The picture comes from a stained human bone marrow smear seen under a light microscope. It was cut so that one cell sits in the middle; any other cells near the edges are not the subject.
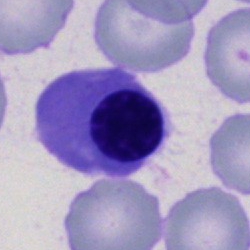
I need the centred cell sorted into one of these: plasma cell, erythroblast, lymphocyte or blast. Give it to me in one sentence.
In the middle of this smear crop is an erythroblast.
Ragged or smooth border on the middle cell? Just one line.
Smooth all around, the outline has no projections to report.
